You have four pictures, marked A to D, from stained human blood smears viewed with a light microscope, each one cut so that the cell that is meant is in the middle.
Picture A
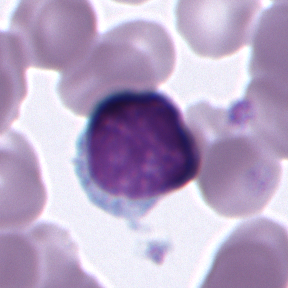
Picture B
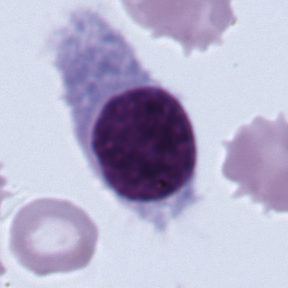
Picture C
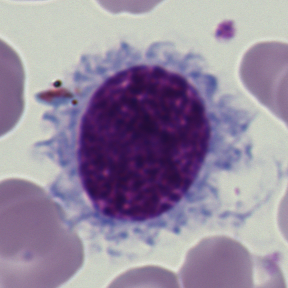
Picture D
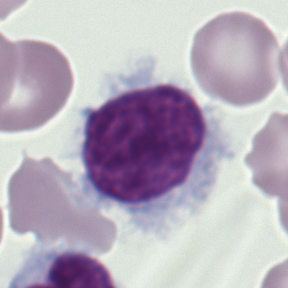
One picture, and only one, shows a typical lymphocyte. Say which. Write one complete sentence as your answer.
It is picture A that shows the typical lymphocyte.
